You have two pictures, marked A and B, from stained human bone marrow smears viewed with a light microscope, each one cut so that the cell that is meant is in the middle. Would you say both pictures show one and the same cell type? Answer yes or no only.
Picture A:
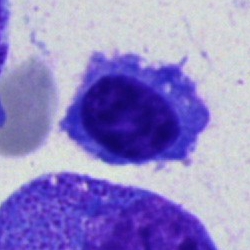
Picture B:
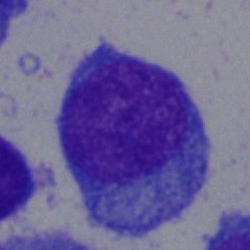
yes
